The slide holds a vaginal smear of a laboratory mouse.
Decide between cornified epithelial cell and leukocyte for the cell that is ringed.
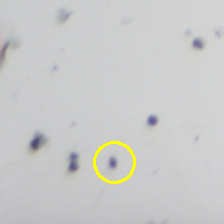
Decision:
I take the ringed cell for a leukocyte.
